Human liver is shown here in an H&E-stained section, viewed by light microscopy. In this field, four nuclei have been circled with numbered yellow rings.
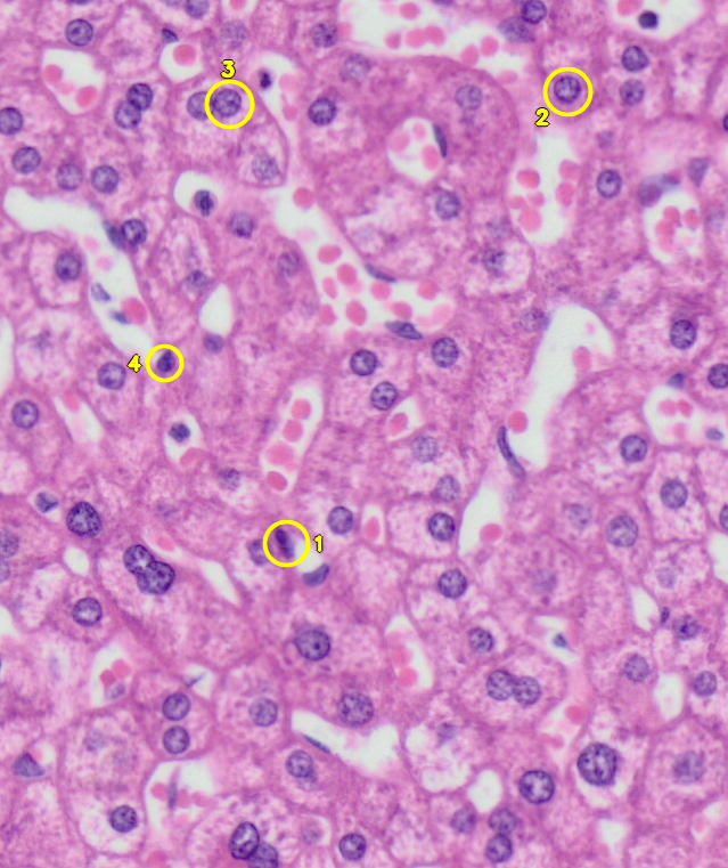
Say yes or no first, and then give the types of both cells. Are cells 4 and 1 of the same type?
Yes, cells 4 and 1 are both fibroblasts or stellate cells.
